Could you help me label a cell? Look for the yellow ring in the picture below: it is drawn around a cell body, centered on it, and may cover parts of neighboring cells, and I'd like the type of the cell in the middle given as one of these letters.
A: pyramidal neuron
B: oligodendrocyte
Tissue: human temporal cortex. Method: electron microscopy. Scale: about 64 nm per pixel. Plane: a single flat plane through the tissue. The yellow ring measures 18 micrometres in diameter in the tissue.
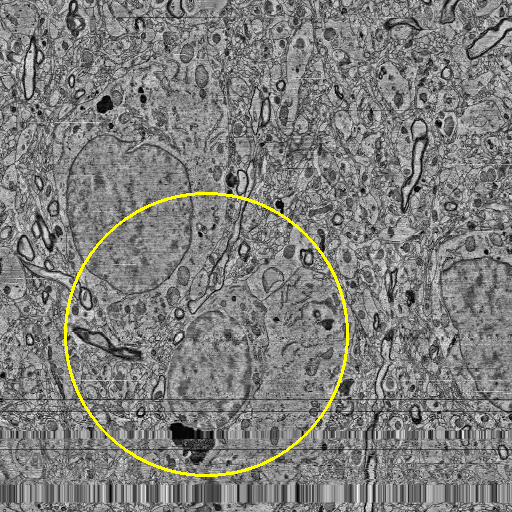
B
